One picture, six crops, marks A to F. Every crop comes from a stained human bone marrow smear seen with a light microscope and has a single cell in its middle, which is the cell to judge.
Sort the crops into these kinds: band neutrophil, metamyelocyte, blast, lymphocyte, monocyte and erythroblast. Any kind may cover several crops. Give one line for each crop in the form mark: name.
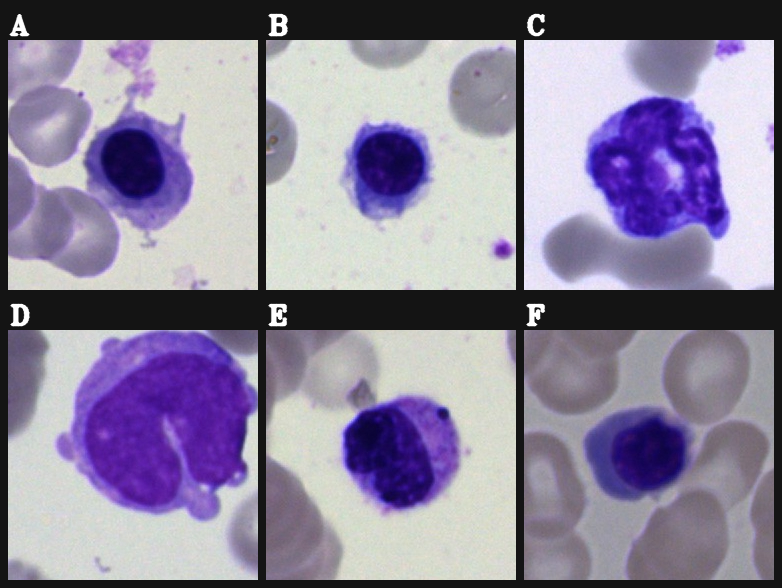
A: erythroblast
B: erythroblast
C: monocyte
D: monocyte
E: metamyelocyte
F: erythroblast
